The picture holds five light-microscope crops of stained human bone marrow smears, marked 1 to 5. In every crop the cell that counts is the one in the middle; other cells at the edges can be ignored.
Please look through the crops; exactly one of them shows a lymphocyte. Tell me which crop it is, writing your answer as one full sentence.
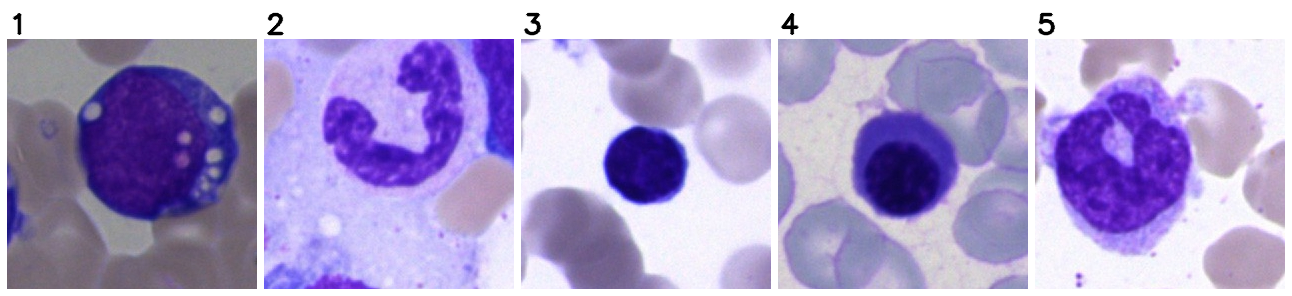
Crop 3 is the crop that displays a lymphocyte.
